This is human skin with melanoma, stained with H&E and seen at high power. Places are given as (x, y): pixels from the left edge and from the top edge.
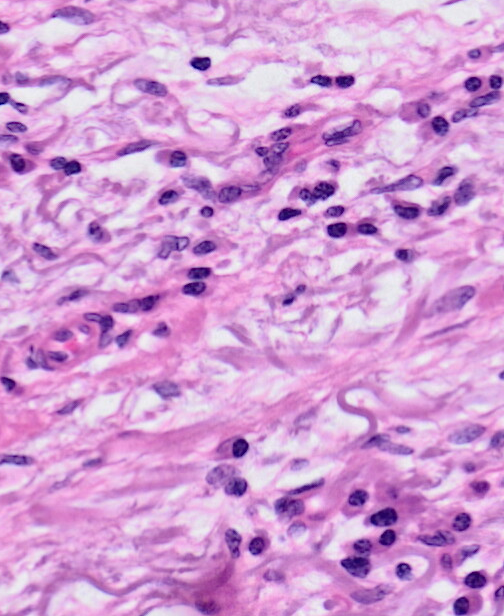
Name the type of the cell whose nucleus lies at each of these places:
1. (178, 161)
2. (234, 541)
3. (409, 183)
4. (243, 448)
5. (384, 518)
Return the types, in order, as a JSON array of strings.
["plasma cell", "macrophage or monocyte", "fibroblast or myofibroblast", "plasma cell", "plasma cell"]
